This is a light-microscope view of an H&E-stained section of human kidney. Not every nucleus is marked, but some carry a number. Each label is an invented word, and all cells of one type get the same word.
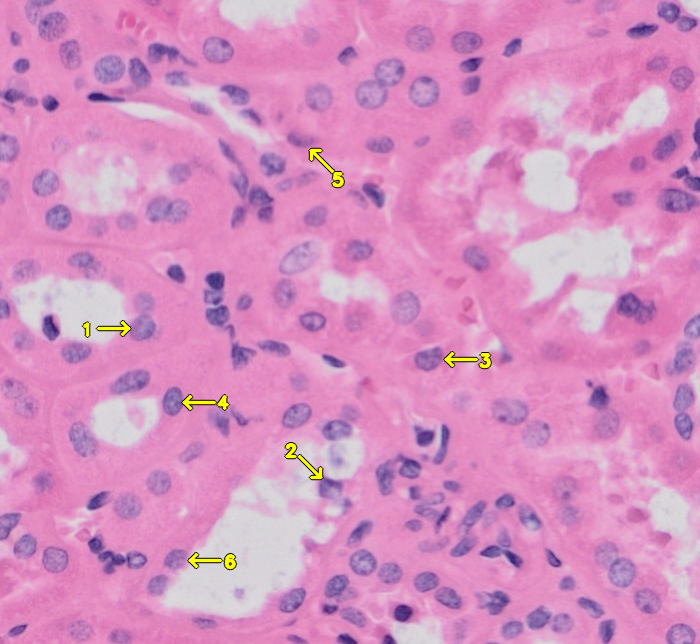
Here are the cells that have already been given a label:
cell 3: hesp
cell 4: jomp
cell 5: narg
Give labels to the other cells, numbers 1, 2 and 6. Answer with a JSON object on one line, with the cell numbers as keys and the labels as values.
{"1": "jomp", "2": "jomp", "6": "jomp"}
